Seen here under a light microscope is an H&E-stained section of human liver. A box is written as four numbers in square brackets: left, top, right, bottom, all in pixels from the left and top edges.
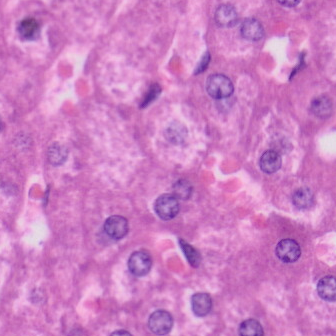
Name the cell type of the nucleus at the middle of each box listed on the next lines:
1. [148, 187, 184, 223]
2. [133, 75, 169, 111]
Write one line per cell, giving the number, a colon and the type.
1: hepatocyte
2: endothelial cell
